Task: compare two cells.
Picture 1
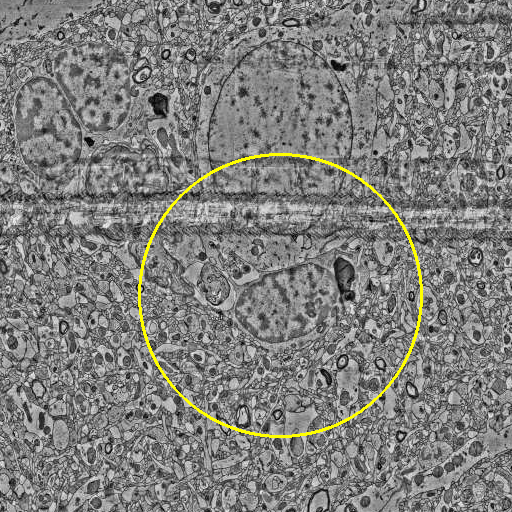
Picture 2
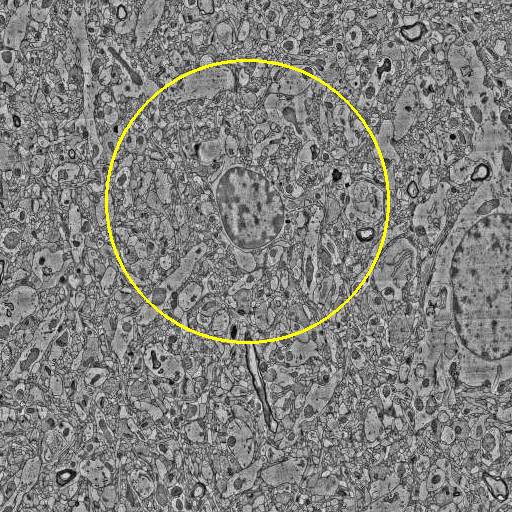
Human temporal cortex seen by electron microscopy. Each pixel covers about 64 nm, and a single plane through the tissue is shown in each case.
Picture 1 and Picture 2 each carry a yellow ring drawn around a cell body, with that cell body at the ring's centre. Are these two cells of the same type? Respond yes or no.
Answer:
no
